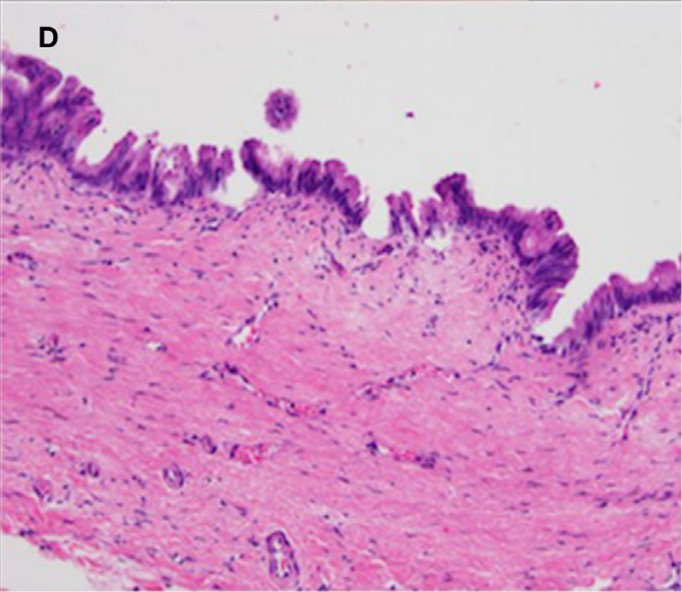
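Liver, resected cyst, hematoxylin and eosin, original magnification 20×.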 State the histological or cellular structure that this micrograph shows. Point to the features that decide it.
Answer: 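The epithelial lining rises into several small projections toward the lumen. A small detached cluster of epithelial cells lies free in the lumen above the lining.
Answer: papillary tufting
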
